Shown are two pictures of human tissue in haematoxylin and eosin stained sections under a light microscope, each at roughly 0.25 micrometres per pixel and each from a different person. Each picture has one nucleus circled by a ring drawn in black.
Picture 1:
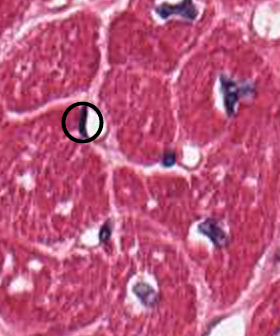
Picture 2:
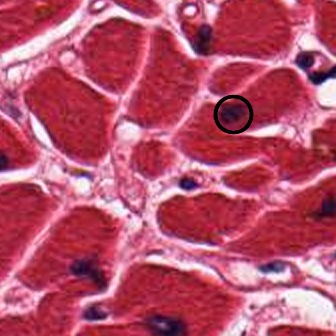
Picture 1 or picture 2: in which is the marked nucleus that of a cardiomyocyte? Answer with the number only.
2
